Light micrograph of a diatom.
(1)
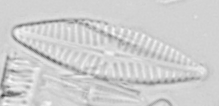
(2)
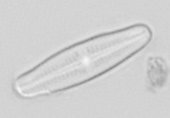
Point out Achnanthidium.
That is picture 2.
